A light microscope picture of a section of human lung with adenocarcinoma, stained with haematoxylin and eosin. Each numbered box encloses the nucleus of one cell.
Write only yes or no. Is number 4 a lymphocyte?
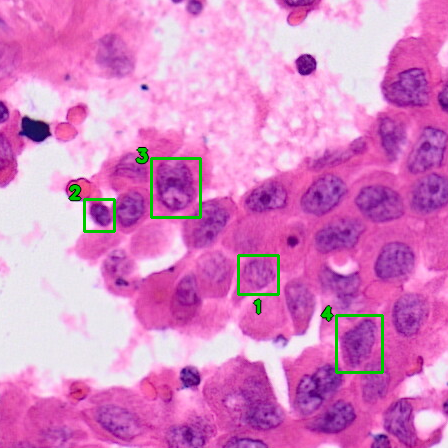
no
